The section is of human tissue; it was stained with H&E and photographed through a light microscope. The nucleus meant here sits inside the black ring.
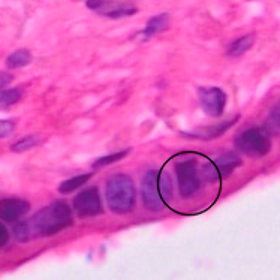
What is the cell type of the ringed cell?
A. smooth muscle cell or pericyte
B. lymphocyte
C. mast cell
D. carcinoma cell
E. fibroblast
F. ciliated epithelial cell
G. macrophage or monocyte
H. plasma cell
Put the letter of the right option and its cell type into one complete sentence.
Option F gets it right: the ringed cell is a ciliated epithelial cell.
